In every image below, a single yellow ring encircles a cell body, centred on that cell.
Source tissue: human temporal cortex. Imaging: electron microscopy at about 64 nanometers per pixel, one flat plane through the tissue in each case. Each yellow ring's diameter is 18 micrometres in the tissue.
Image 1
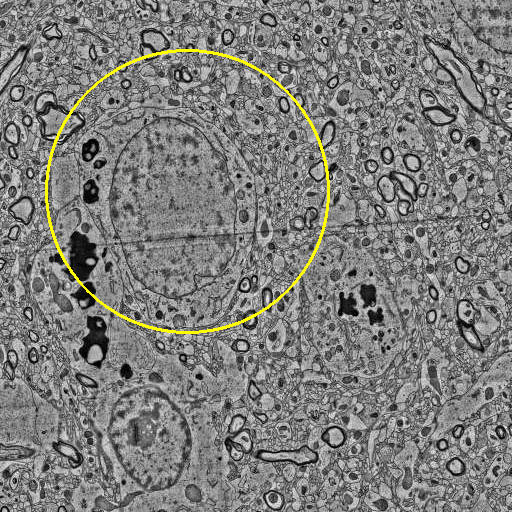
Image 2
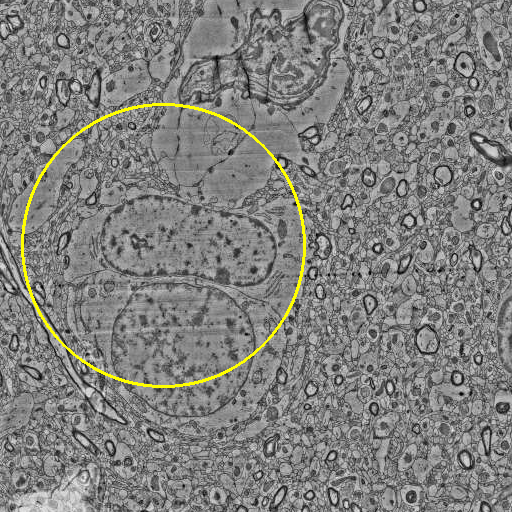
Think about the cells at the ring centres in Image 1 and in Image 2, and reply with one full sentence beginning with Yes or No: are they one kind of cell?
No, the cells centred in the rings of Image 1 and Image 2 are two kinds of cell.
